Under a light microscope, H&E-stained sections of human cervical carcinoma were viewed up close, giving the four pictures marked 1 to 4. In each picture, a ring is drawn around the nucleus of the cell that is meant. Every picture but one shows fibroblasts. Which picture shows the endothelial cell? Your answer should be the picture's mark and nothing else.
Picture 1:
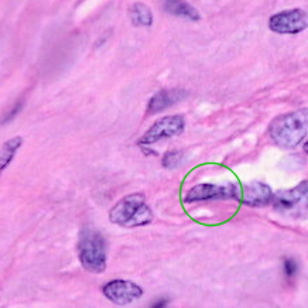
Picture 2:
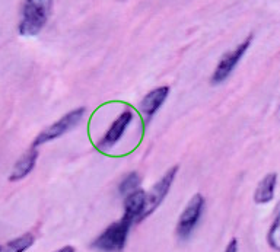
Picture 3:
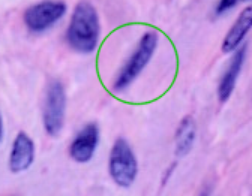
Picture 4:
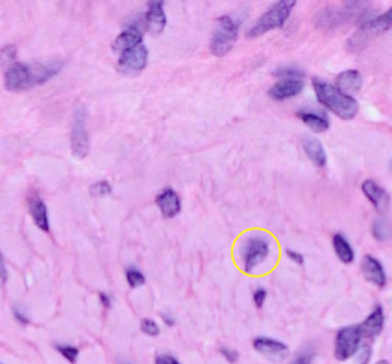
1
